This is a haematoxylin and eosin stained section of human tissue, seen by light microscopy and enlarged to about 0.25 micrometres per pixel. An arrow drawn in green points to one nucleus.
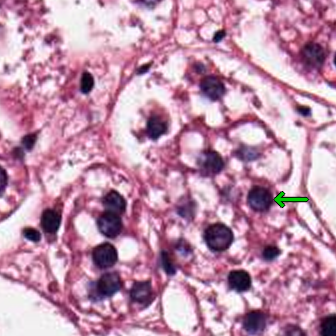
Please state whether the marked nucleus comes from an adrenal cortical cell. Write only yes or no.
yes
